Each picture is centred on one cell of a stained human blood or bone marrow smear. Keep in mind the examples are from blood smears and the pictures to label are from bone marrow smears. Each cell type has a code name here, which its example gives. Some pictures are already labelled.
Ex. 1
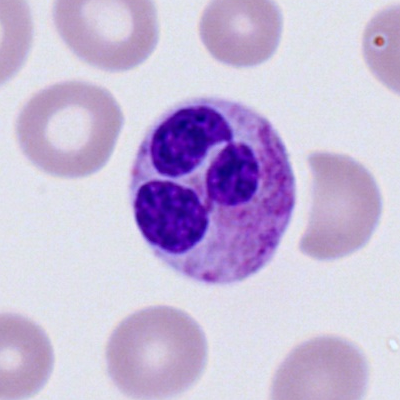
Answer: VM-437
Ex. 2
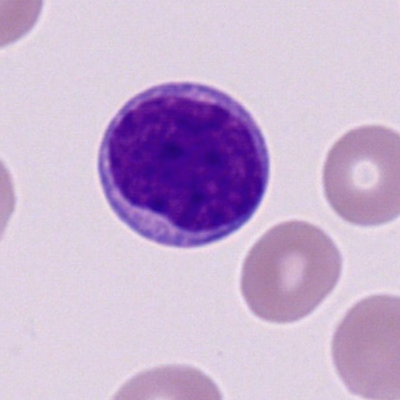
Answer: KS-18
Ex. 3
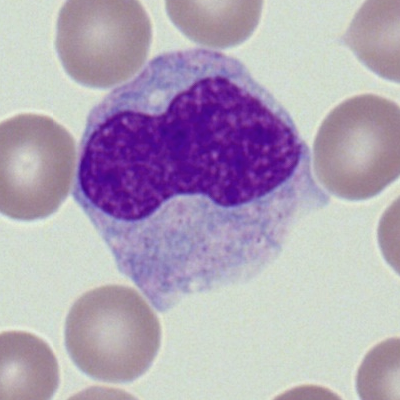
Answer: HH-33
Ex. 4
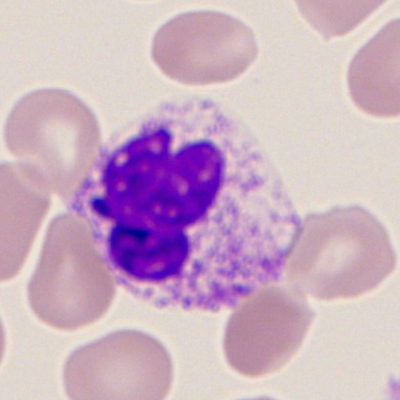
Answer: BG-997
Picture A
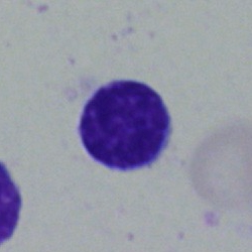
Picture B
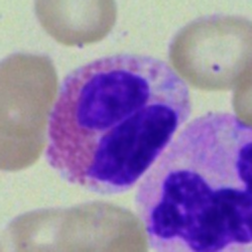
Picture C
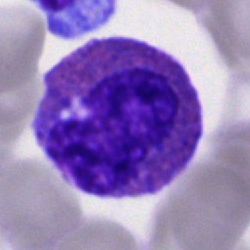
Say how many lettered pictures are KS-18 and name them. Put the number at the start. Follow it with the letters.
Count: 1 (A)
